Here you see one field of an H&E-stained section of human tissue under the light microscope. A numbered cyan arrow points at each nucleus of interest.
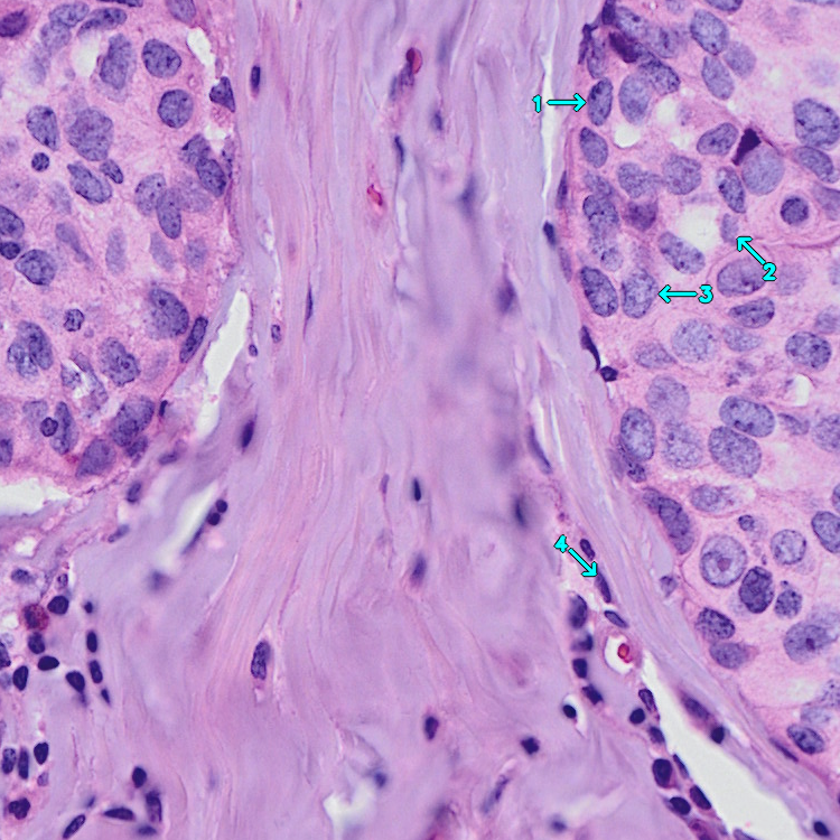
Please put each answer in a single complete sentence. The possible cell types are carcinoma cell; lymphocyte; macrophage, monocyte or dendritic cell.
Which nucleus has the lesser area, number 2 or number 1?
Nucleus 2 is the smaller one; nucleus 1 covers about 2.5 times its area.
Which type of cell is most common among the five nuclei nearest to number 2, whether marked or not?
Of the five nuclei nearest to number 2, most belong to carcinoma cells.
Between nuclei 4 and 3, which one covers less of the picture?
With nucleus 3 about 4 times its size, nucleus 4 is the smaller of the two.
